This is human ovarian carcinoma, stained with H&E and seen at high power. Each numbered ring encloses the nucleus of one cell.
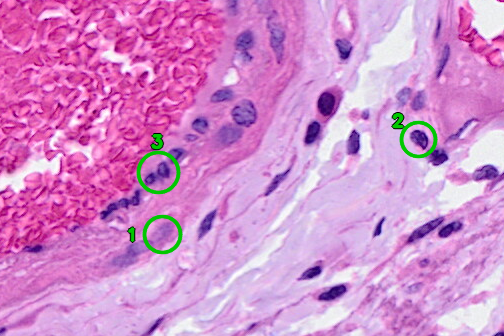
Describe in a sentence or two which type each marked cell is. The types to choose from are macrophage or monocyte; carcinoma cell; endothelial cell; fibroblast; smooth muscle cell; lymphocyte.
Cell 1 is a smooth muscle cell. Cell 2 is a lymphocyte. Cell 3 is an endothelial cell.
